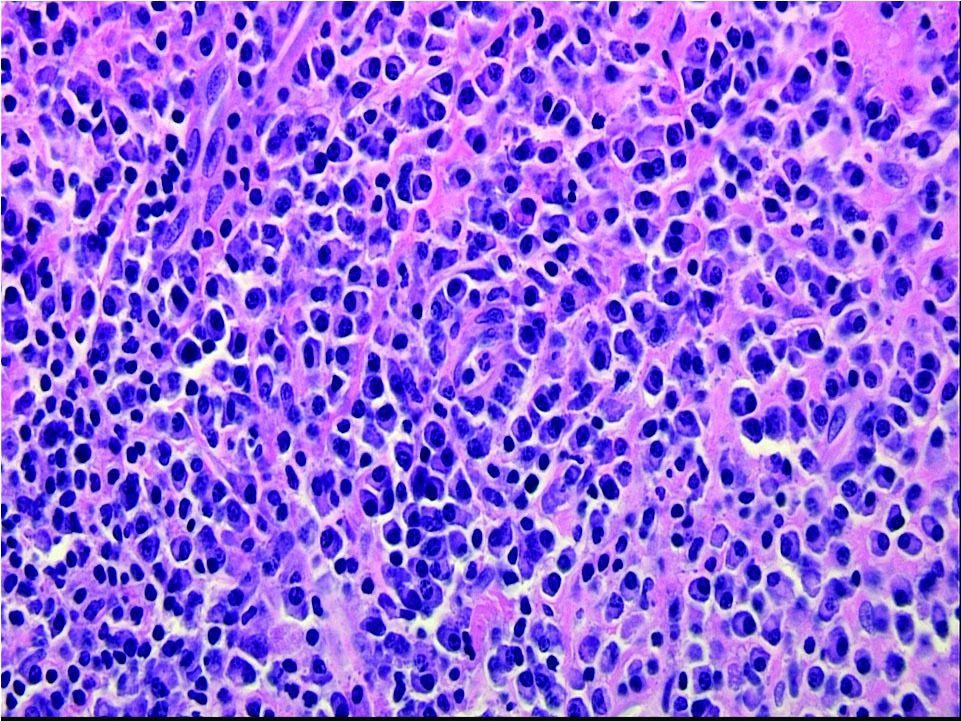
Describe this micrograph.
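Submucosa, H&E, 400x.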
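This is a dense mixed inflammatory infiltrate packed into a pink collagenous stroma. Most of the cells are plasma cells, with round, eccentrically placed dark nuclei and moderate purple-pink cytoplasm. Scattered among them are small lymphocytes with dark round nuclei and little cytoplasm, a few larger cells with paler oval nuclei, and occasional elongated spindle-shaped nuclei in the pink strands of stroma.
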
